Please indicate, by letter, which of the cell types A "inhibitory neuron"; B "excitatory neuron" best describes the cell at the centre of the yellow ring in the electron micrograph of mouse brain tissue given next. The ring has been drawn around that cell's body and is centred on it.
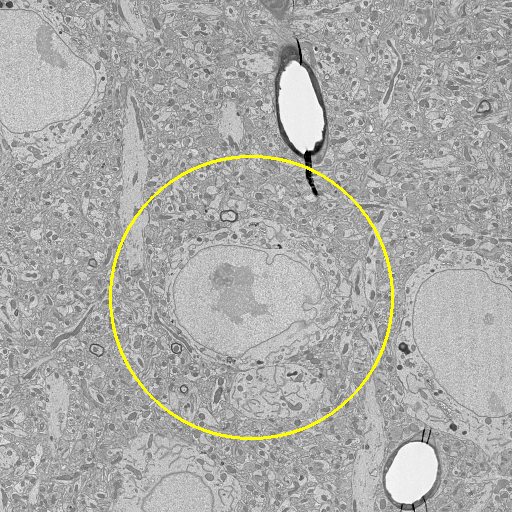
A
